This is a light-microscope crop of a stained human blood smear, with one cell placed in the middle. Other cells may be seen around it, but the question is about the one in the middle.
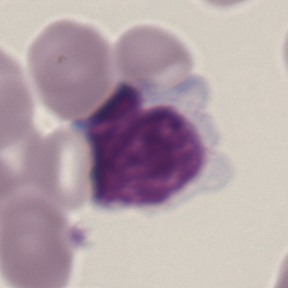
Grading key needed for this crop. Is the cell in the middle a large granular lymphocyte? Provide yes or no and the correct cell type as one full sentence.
Yes, the cell at the centre of this crop is identified as a large granular lymphocyte.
